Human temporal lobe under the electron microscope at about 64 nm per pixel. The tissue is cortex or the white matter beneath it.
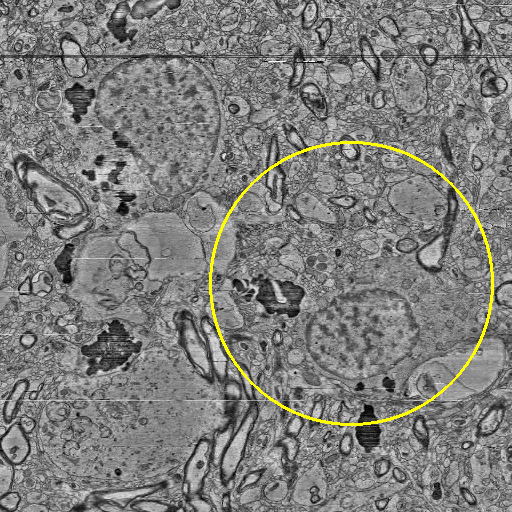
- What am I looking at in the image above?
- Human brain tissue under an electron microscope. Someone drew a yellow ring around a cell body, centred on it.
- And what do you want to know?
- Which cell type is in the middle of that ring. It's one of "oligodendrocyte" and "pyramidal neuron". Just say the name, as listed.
oligodendrocyte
